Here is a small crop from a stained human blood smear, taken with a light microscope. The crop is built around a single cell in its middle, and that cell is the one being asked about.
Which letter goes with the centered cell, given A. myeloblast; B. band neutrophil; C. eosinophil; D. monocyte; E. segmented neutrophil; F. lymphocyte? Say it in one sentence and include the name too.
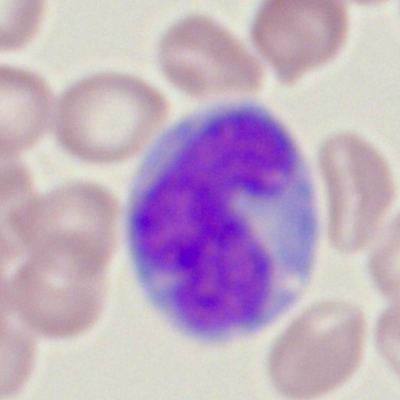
Option D is the right one, for the cell in the middle is a monocyte.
